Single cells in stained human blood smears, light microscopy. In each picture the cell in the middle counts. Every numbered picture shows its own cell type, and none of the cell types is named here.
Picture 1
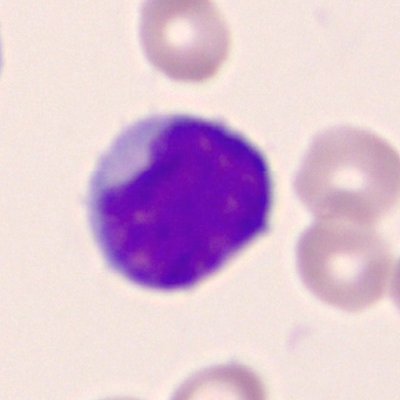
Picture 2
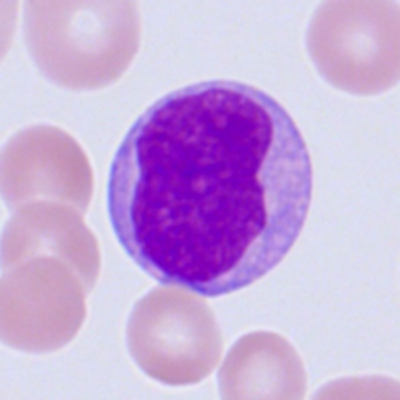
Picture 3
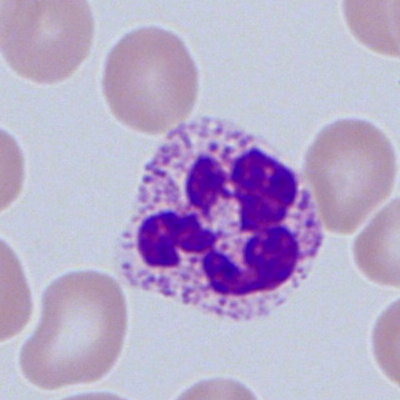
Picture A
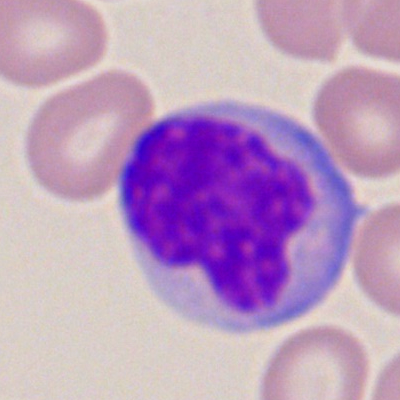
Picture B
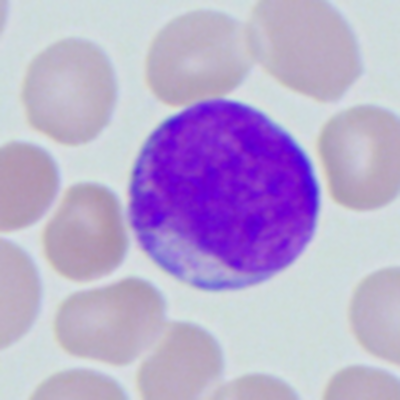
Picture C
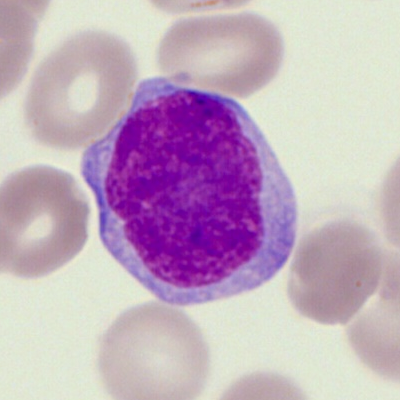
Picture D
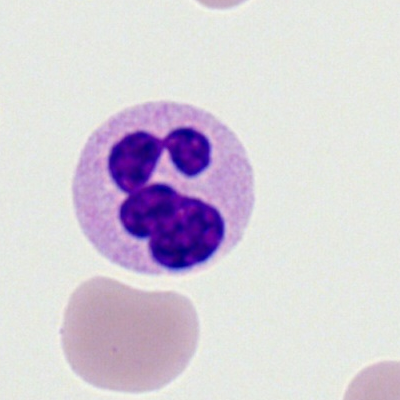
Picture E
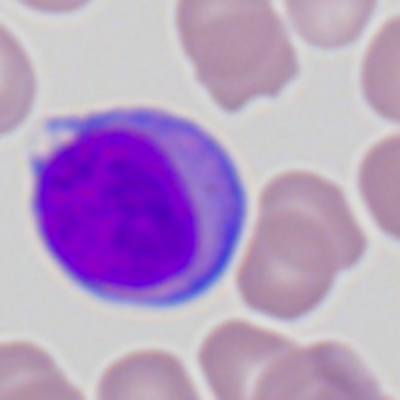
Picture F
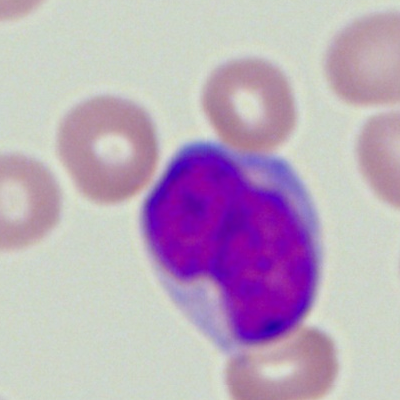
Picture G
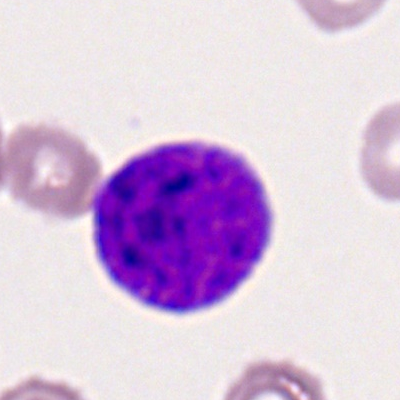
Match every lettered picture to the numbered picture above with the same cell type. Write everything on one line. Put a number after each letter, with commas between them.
A 2, B 1, C 1, D 3, E 1, F 1, G 1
